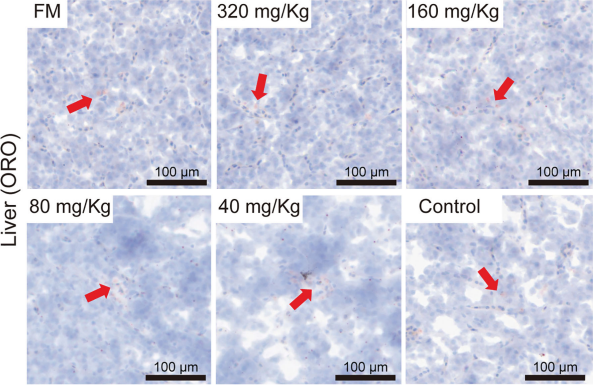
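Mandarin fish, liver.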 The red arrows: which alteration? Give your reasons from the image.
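Oil droplet cells. Tiny red-orange dots lie scattered among blue-stained tissue. The red arrows point to spots carrying these red dots.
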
